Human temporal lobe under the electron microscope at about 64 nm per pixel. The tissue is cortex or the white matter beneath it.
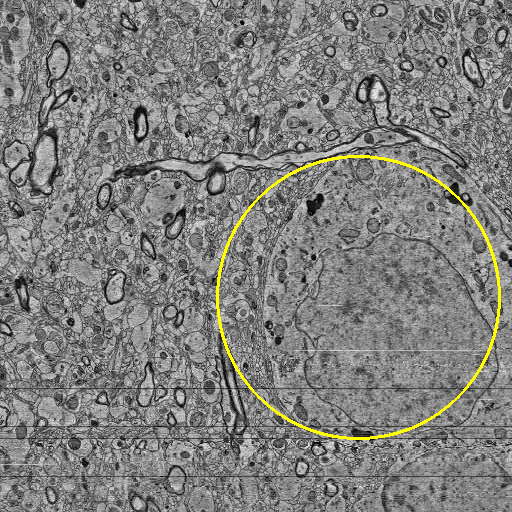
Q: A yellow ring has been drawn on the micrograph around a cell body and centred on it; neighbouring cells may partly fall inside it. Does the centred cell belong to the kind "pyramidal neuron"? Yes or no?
Yes, it belongs to that kind.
